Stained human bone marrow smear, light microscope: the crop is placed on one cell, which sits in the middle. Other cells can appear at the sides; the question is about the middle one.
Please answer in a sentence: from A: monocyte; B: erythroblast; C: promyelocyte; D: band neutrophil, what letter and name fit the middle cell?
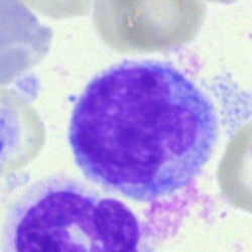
It is a monocyte that occupies the centre of the crop, so option A is correct.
